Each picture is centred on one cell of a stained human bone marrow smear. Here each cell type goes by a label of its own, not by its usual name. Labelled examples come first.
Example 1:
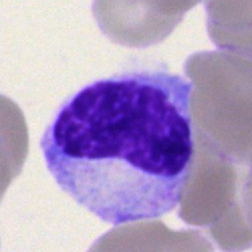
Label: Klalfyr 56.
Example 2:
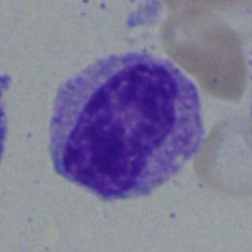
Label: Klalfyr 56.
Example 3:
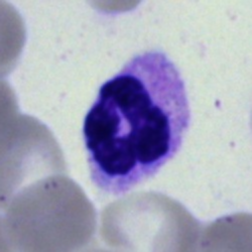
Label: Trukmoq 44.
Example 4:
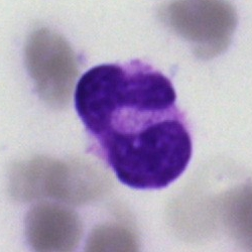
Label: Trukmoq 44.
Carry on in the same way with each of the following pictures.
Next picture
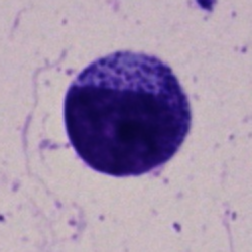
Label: Klalfyr 56.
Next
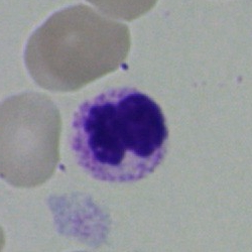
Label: Trukmoq 44.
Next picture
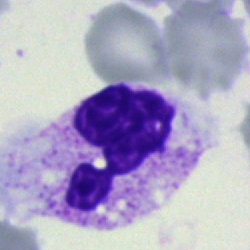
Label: Trukmoq 44.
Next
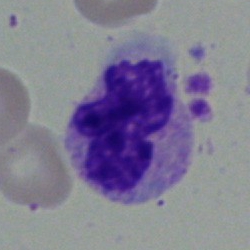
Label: Trukmoq 44.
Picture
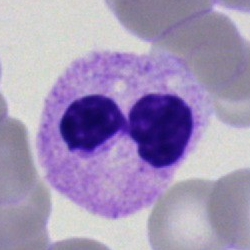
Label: Trukmoq 44.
